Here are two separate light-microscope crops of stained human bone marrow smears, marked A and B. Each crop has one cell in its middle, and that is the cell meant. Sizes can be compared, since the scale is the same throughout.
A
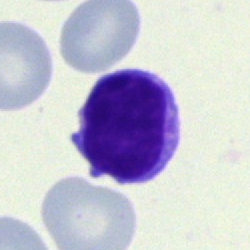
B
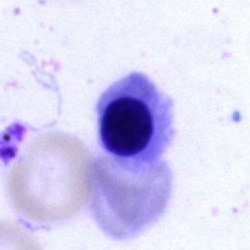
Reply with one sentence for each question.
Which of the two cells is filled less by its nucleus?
It is the cell in picture B that is filled less by its nucleus.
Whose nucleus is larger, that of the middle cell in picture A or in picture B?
Picture A shows the larger nucleus; it covers about 3 times the area of the nucleus in picture B.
